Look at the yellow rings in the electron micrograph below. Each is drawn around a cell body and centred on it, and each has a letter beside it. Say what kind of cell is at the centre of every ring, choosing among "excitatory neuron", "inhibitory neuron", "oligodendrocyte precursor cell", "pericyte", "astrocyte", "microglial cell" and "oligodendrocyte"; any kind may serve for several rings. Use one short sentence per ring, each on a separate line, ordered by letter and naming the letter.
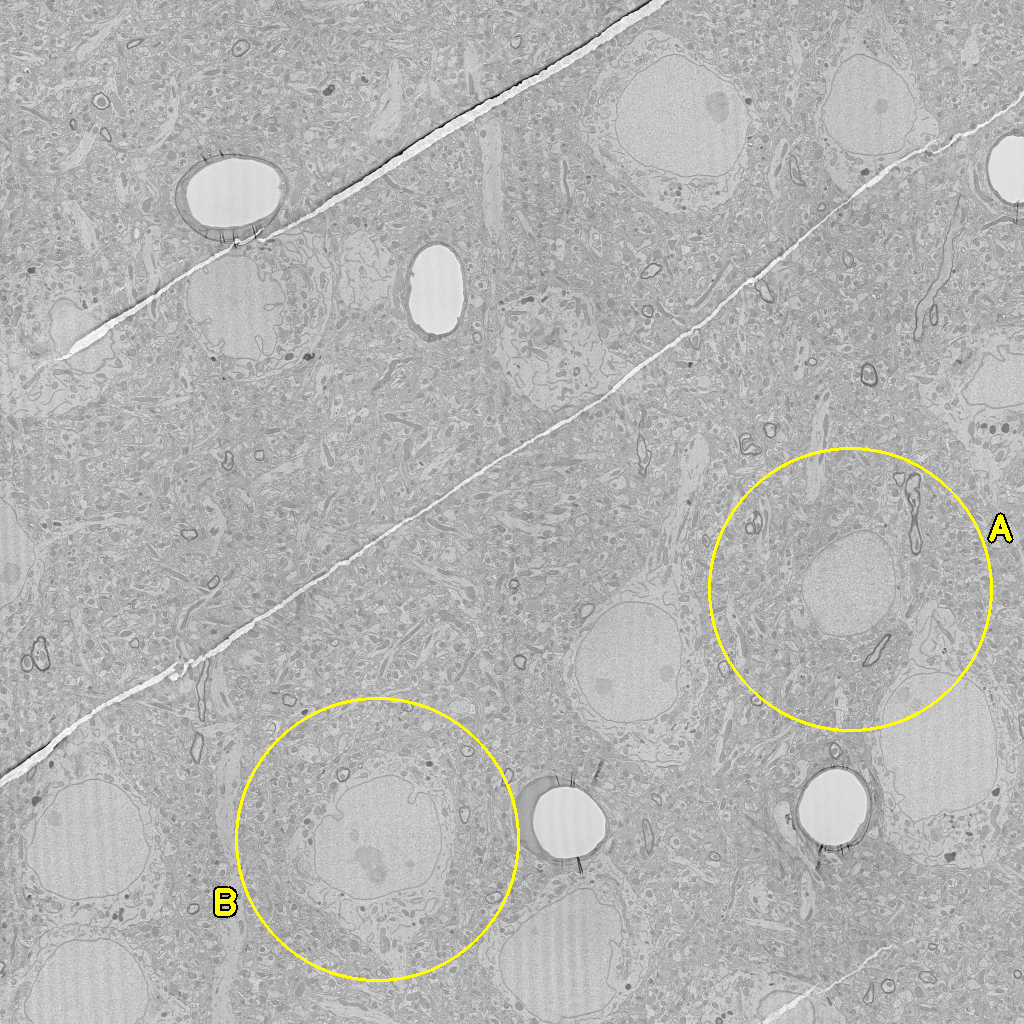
Ring A encircles an astrocyte.
Ring B encircles an excitatory neuron.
